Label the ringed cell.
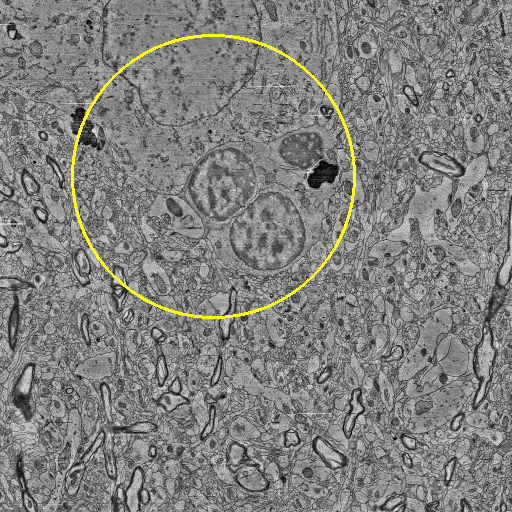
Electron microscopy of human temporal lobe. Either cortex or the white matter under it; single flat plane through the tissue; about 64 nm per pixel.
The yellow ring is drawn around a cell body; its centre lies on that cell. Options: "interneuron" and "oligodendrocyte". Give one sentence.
The ringed cell is an oligodendrocyte.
